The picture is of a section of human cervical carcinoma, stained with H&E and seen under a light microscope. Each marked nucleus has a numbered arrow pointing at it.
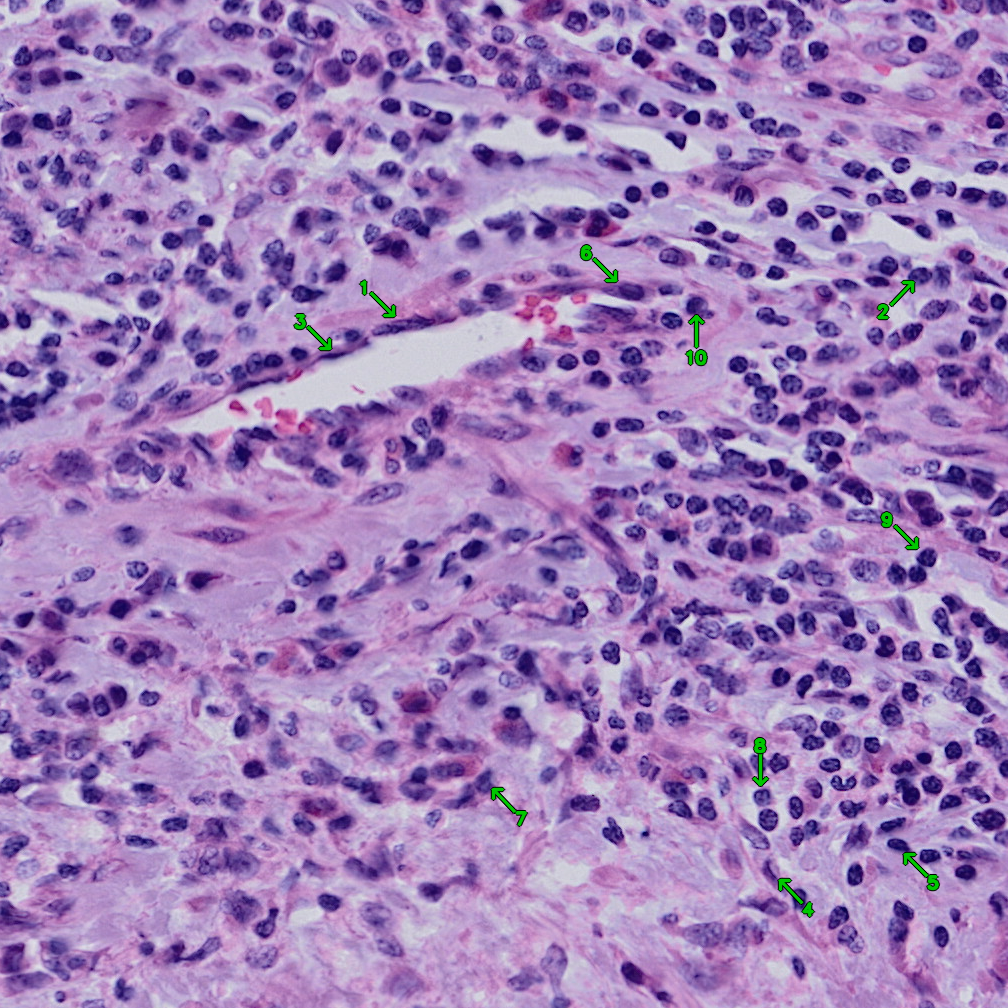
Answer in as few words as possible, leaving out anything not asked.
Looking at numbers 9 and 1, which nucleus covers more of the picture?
1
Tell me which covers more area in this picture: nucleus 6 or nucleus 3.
6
